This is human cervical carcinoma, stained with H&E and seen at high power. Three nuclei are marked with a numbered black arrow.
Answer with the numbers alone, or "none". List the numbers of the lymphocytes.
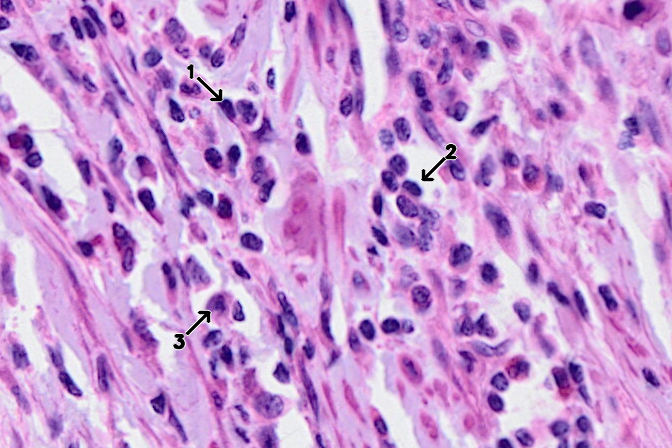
1, 2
